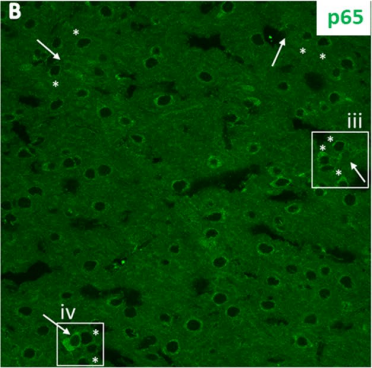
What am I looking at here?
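This green-stained brain tissue is crowded with cells whose nuclei appear as dark, round, unstained holes surrounded by a rim of green cytoplasm. Here and there a smaller cell stands out whose nucleus is itself filled with pale green, unlike its dark-nucleated neighbours.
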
